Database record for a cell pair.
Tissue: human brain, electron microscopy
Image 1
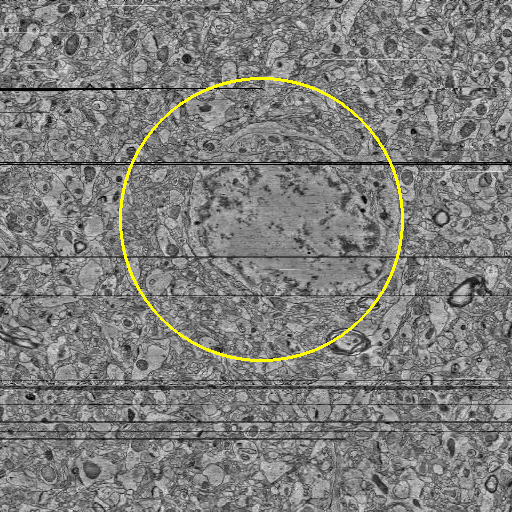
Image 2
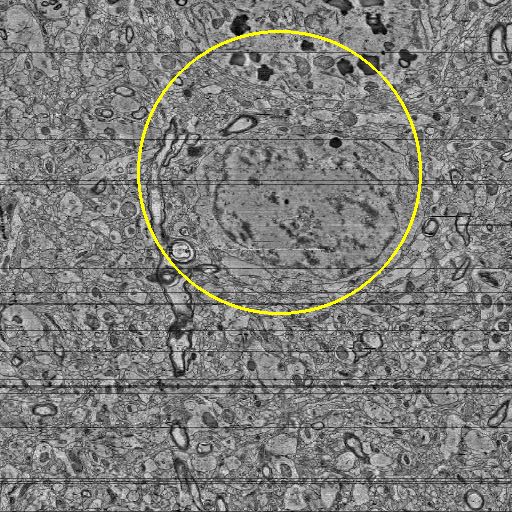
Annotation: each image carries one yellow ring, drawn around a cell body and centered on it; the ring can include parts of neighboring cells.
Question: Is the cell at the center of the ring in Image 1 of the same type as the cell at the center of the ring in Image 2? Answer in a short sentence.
Yes, the cells are of the same type.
